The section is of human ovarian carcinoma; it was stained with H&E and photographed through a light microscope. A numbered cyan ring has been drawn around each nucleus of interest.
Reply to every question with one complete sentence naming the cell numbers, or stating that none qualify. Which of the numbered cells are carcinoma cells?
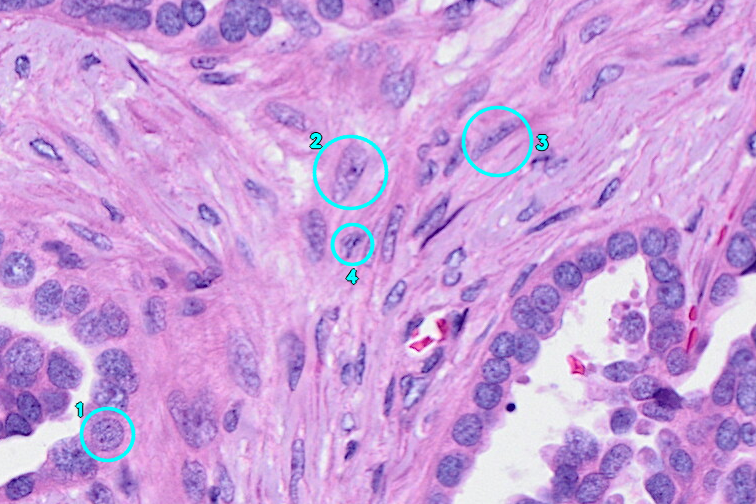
Cell number 1 alone is a carcinoma cell; the rest are not.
